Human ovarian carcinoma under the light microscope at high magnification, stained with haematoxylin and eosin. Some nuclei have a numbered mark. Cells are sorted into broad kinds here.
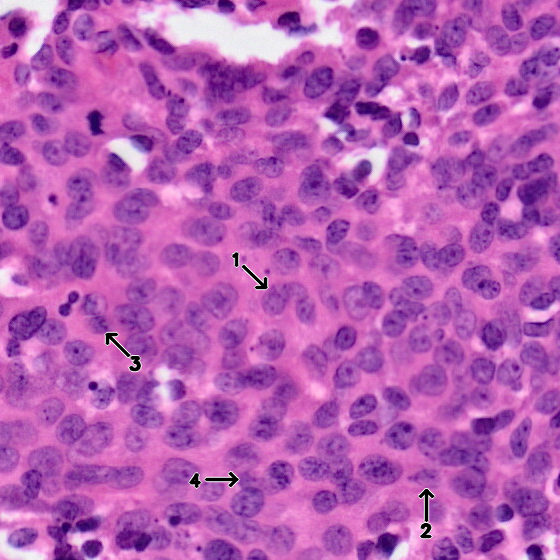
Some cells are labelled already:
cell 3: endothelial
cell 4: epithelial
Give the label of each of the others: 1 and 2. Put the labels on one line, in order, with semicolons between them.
epithelial; epithelial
